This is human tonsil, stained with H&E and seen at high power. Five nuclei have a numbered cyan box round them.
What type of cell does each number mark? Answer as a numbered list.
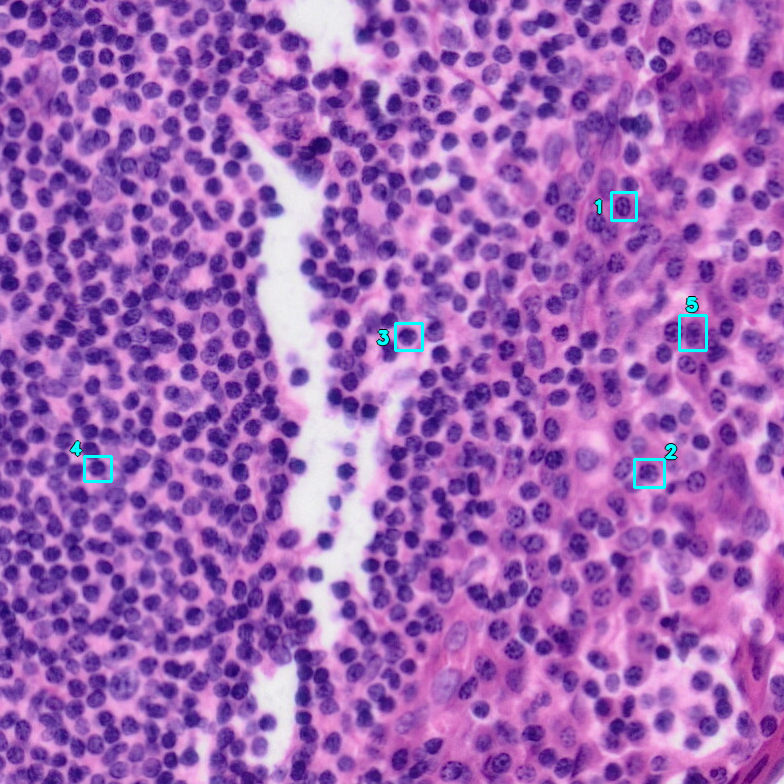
1. plasma cell
2. plasma cell
3. small lymphocyte
4. small lymphocyte
5. plasma cell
